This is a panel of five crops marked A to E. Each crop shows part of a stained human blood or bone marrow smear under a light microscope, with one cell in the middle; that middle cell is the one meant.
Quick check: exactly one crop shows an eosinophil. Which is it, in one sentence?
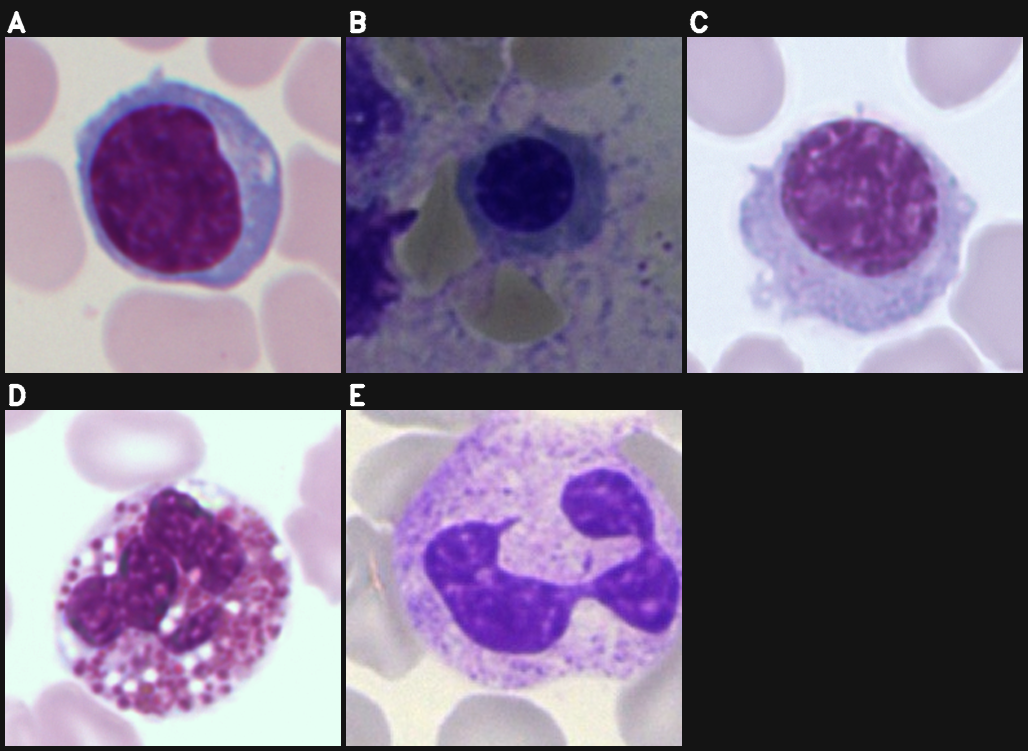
On review of the set, crop D is the one showing an eosinophil.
